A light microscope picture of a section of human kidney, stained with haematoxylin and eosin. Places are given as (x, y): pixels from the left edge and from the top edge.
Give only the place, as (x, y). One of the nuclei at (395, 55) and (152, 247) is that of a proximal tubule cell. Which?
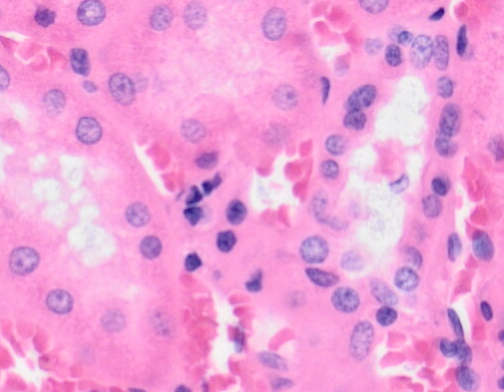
(152, 247)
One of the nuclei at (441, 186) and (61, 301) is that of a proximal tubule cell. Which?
(61, 301)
